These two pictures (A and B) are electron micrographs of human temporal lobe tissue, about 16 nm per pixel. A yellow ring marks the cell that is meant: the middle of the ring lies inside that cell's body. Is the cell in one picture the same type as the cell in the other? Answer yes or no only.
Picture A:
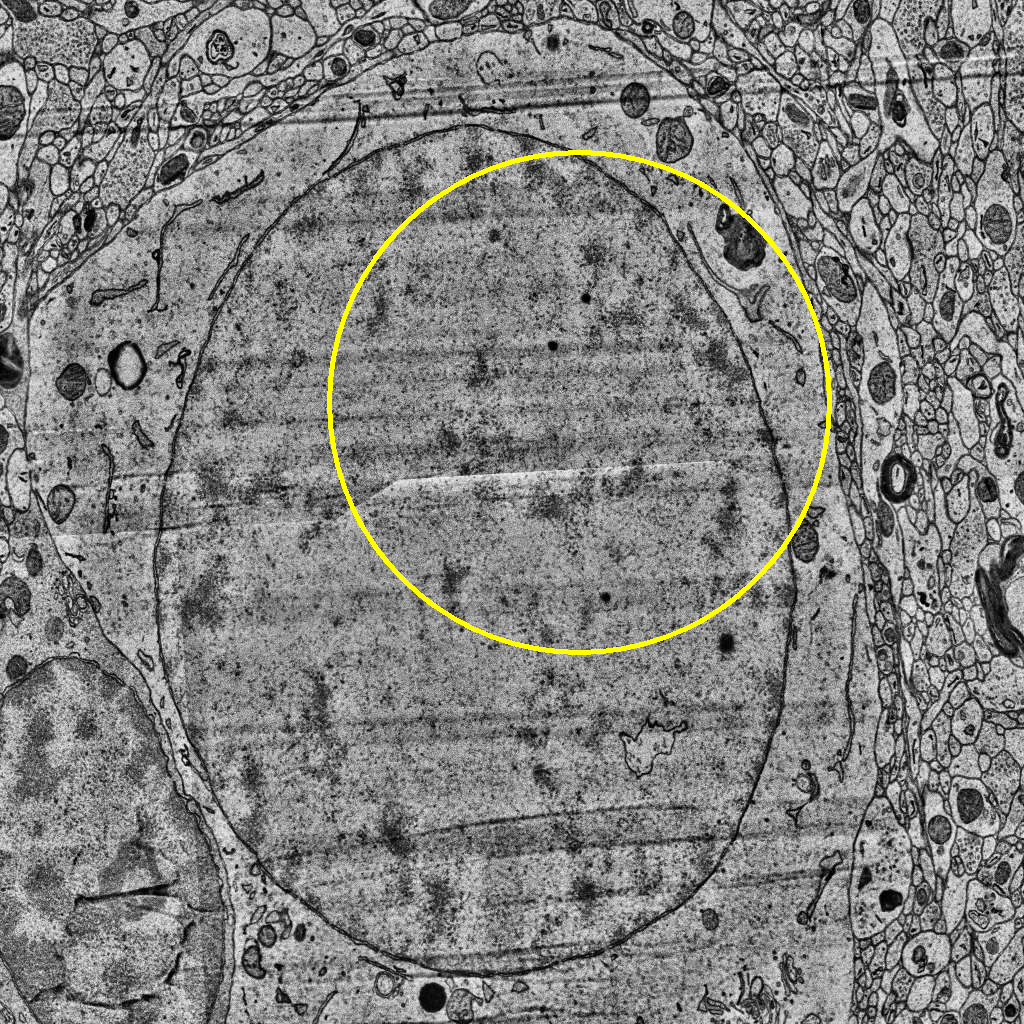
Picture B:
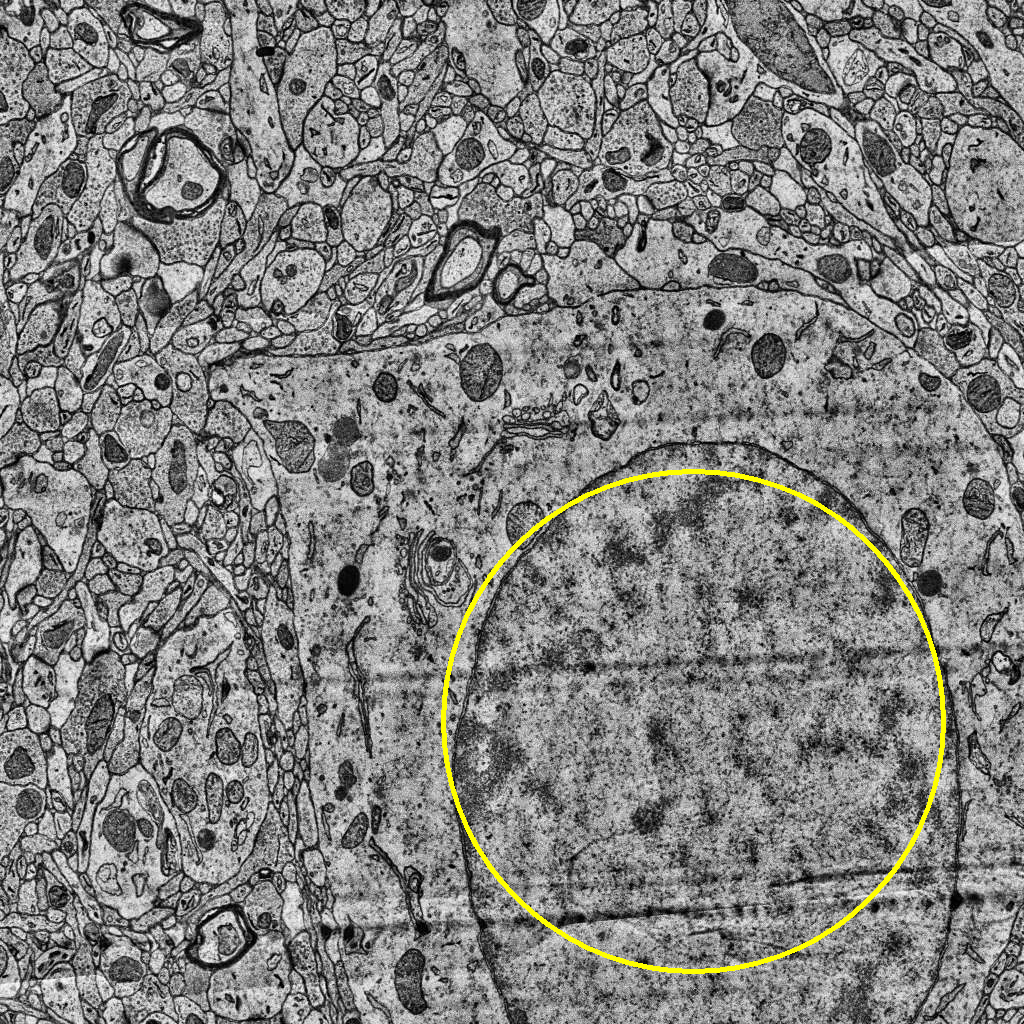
yes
